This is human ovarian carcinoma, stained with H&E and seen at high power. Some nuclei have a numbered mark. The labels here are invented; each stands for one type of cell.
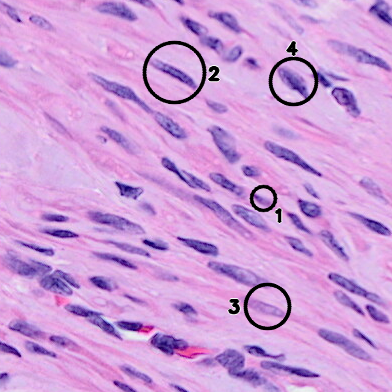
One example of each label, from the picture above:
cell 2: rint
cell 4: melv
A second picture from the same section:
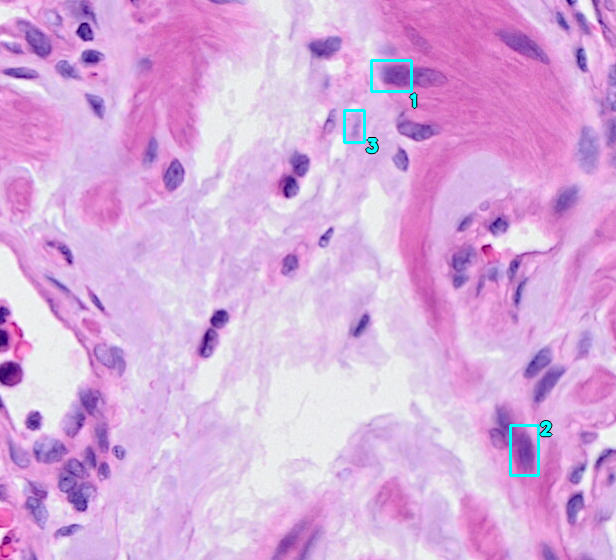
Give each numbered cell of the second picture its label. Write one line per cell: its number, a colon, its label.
1: rint
2: rint
3: melv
